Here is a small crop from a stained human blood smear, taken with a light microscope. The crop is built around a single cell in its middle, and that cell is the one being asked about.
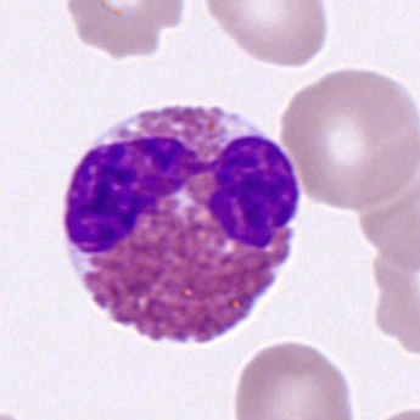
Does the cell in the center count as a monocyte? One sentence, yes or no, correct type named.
No, that is not a monocyte; the middle cell is an eosinophil.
